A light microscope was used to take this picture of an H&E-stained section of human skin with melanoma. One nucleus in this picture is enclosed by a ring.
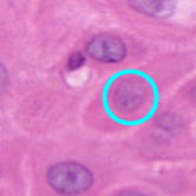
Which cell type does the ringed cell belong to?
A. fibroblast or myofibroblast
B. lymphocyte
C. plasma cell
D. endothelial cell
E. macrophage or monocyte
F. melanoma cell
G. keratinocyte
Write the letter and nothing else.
G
